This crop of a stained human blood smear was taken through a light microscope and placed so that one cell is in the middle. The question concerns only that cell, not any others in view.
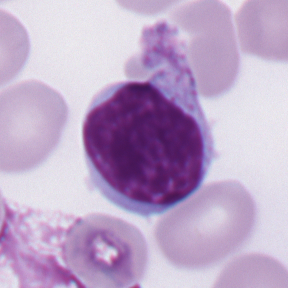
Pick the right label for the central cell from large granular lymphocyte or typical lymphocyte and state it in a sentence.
The cell centered in this field of view is a large granular lymphocyte.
